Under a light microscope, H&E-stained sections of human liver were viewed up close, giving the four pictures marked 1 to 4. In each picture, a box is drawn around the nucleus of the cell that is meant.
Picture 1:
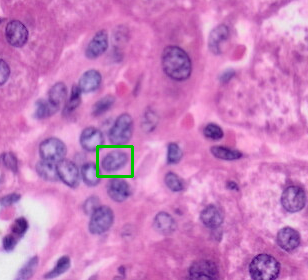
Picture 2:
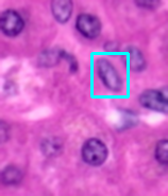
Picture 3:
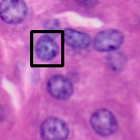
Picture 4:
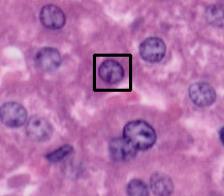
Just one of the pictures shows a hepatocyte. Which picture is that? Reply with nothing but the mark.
4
